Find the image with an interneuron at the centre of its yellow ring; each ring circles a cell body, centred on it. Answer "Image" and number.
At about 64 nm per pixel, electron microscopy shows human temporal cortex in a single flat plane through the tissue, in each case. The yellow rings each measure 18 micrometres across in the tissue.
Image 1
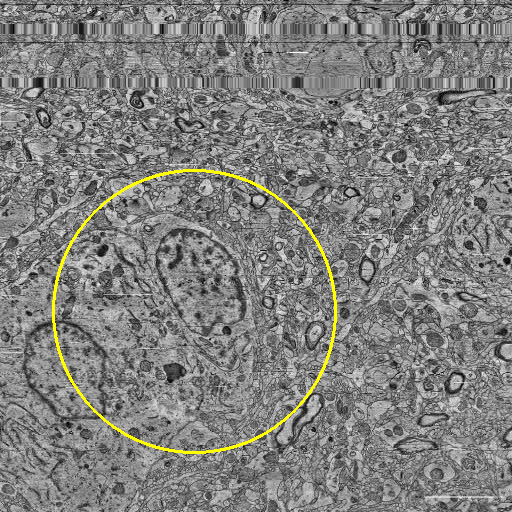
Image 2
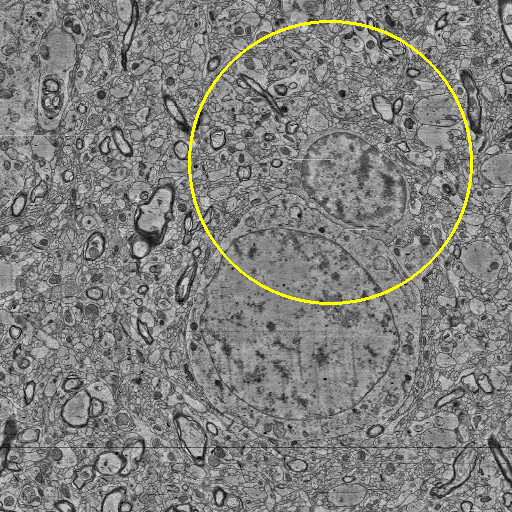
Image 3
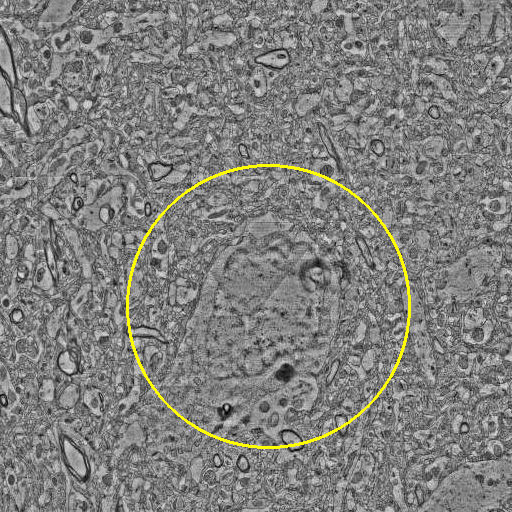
Image 3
